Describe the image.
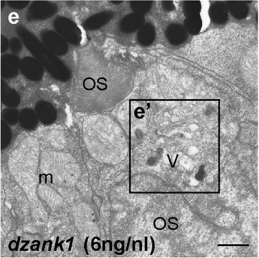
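Dark, oval pigment granules crowd the top of the field above the photoreceptors. The outer segments appear as small rounded stacks of membrane rather than long, orderly columns. Below them, the inner segments contain clustered mitochondria. A boxed region within the inner segment holds pale membrane-bound vesicular structures and small dense bodies.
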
